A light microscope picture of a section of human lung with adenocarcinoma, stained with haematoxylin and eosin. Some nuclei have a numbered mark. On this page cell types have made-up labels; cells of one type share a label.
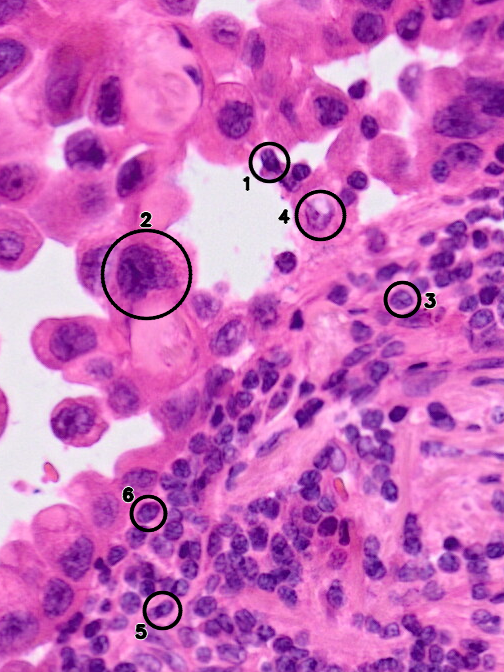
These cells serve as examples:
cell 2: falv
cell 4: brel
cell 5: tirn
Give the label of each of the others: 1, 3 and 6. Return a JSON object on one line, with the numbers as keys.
{"1": "tirn", "3": "tirn", "6": "tirn"}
